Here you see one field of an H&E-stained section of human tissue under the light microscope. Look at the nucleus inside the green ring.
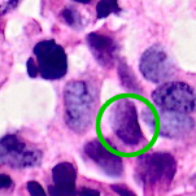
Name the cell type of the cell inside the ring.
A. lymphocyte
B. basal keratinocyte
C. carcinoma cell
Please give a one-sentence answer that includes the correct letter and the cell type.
In this section the cell inside the ring is a carcinoma cell; option C is therefore correct.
